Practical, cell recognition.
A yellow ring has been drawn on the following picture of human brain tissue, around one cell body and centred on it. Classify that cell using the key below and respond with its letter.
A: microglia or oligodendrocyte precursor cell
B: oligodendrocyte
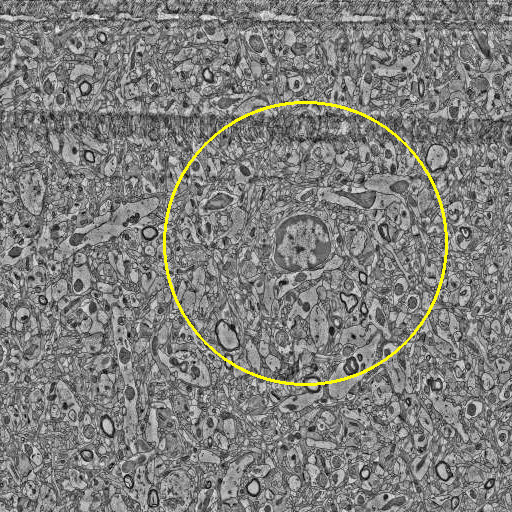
A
